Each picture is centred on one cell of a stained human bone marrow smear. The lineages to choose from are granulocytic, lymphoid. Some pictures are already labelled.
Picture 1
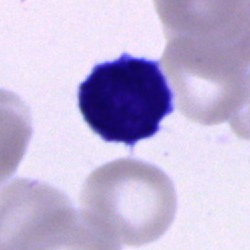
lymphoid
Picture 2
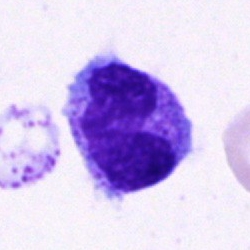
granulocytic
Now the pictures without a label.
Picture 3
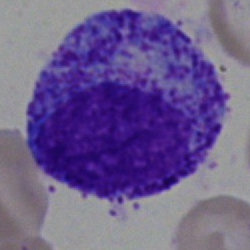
granulocytic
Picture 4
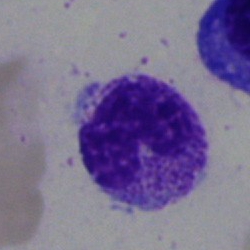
granulocytic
